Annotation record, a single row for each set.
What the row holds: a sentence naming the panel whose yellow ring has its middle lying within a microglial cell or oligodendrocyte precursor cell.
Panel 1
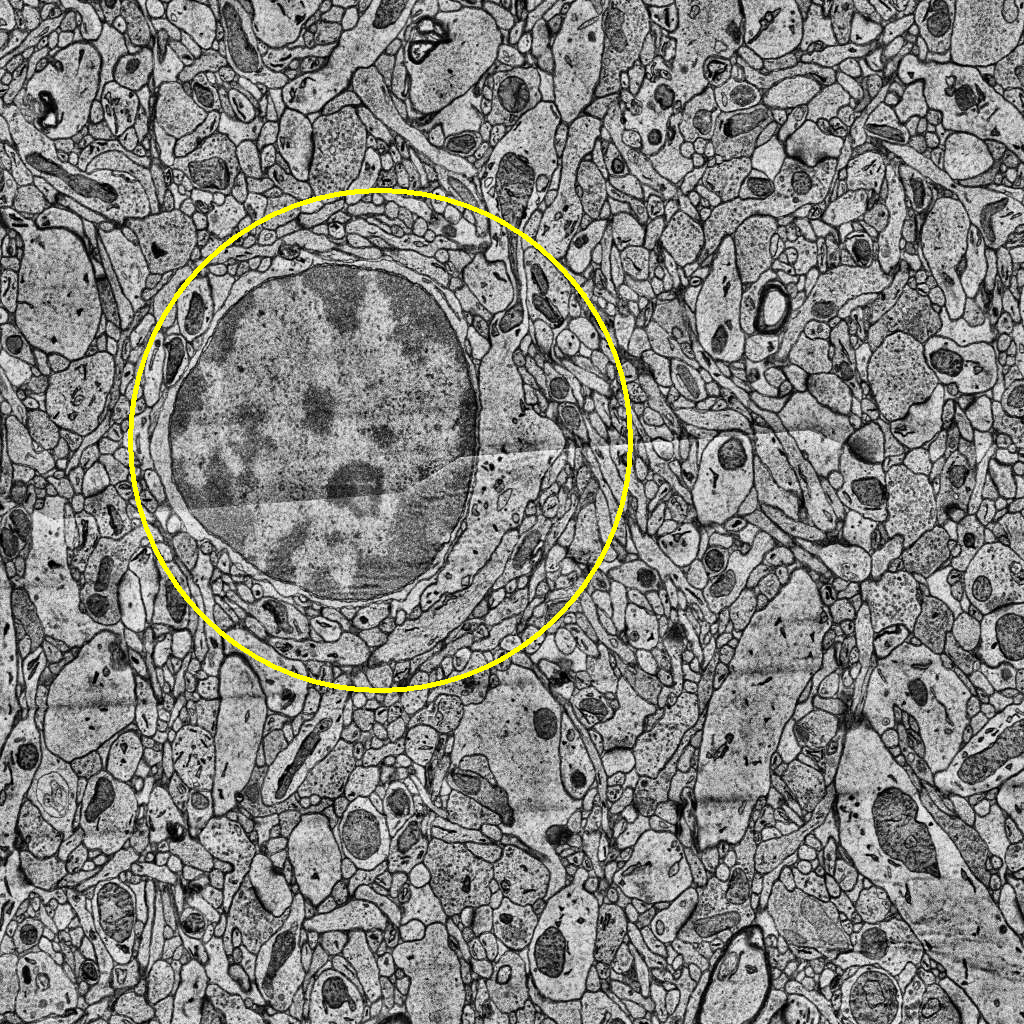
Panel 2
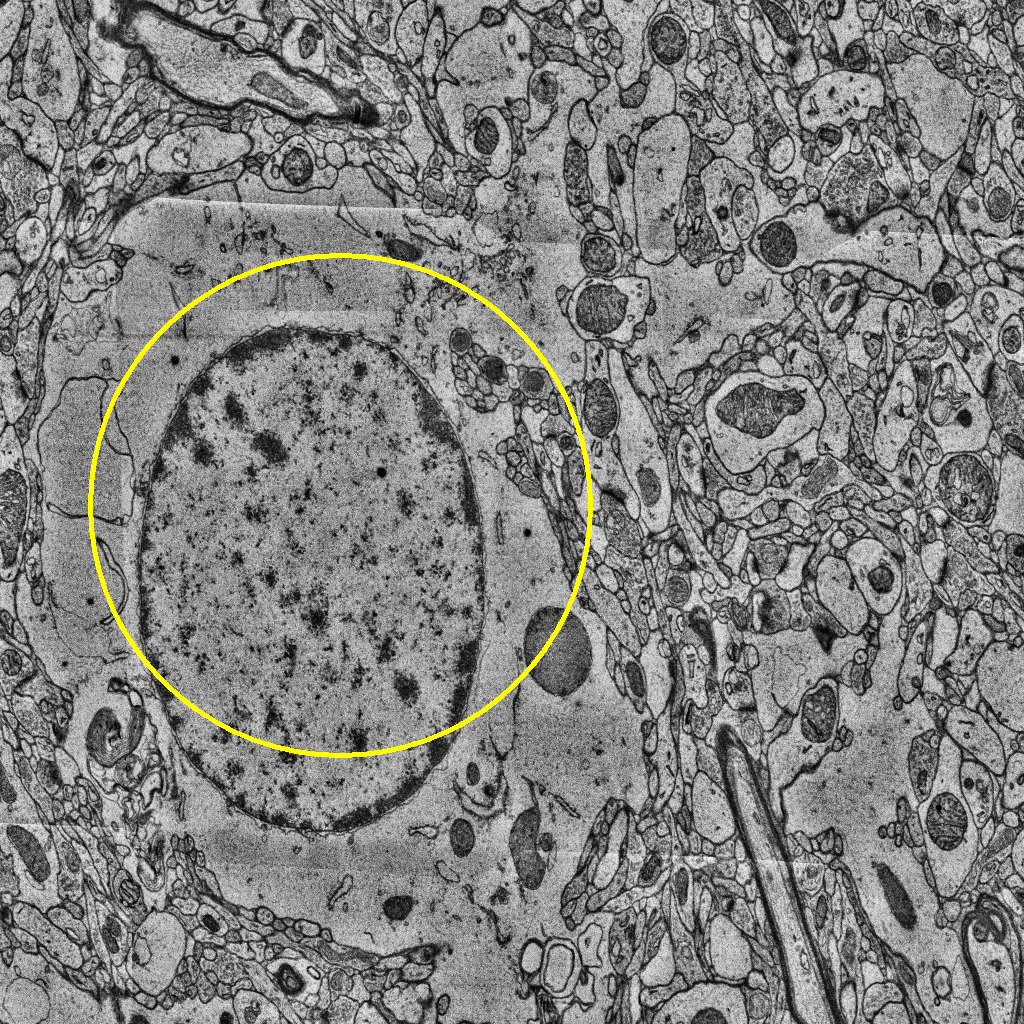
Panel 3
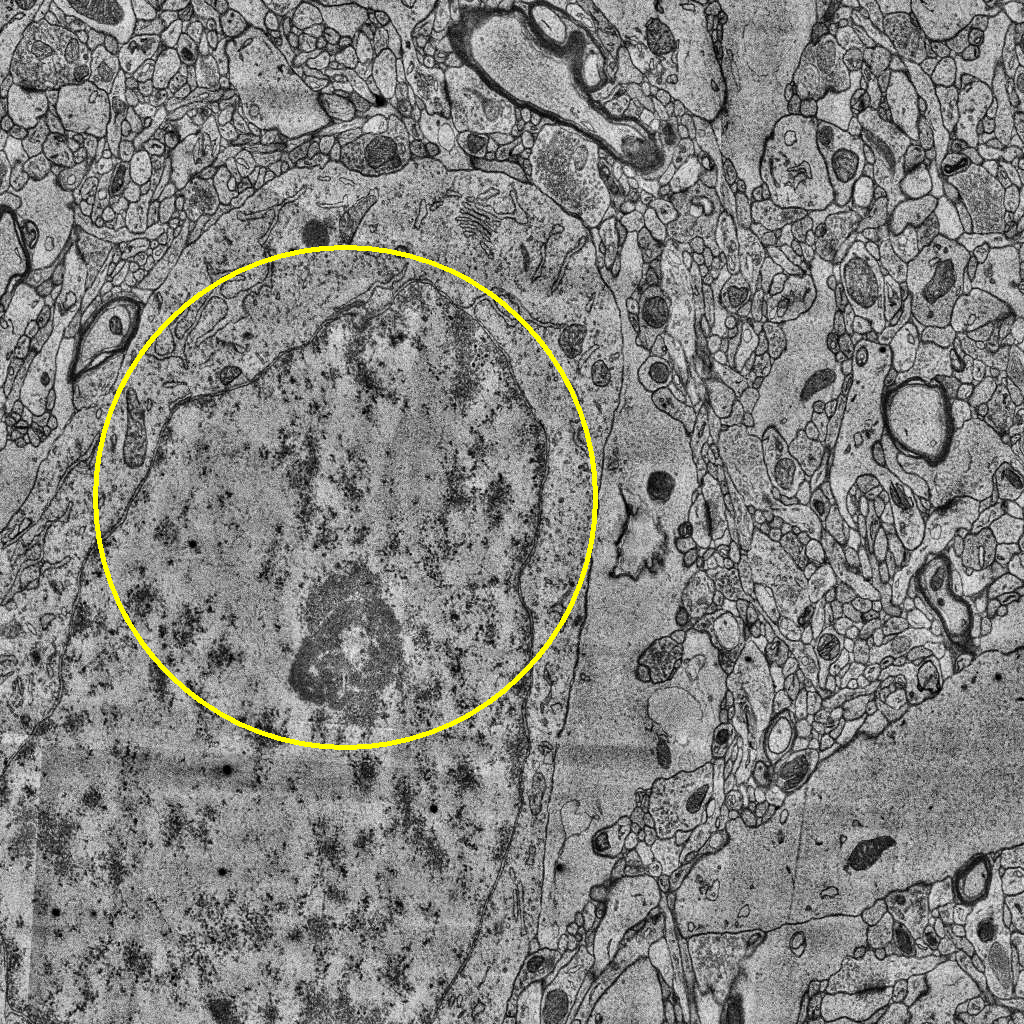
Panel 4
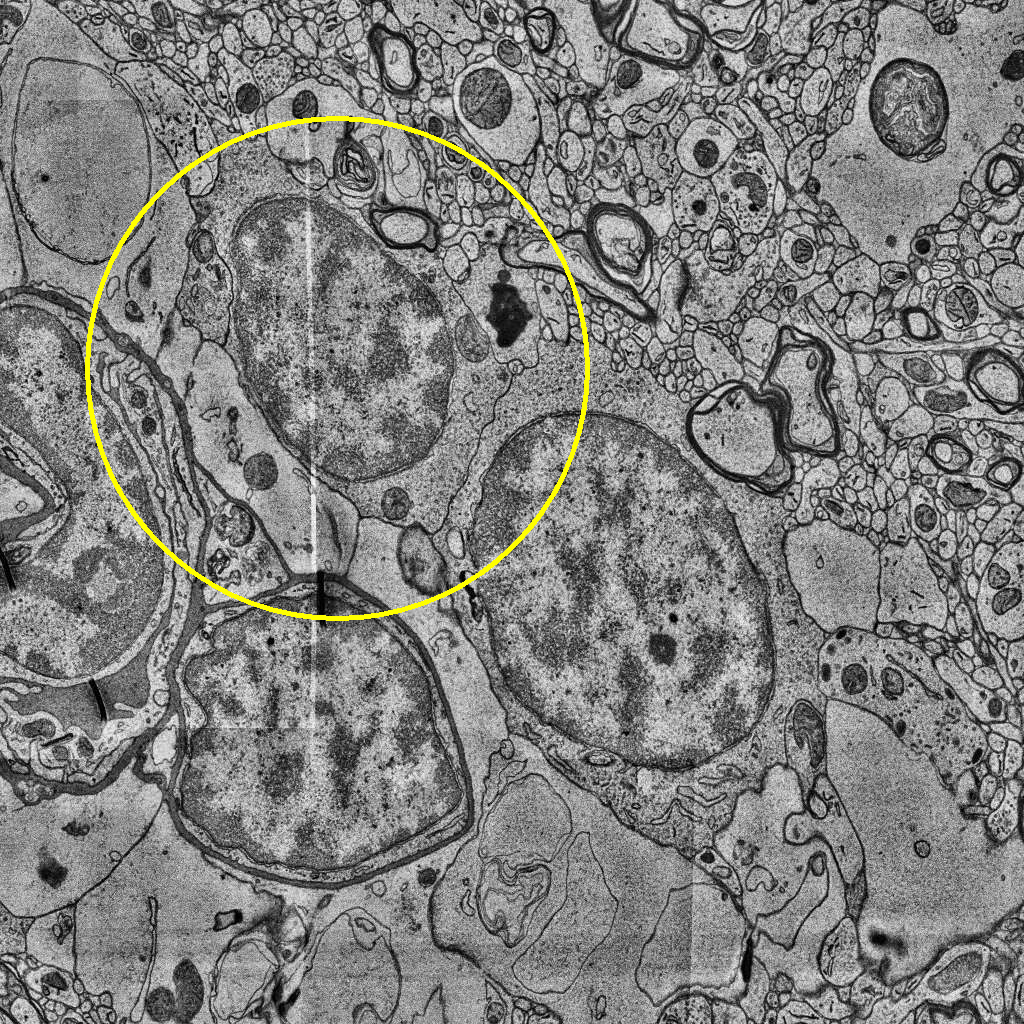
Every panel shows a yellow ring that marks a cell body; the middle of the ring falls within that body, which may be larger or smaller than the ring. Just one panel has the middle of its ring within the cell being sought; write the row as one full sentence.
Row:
In panel 1, the middle of the yellow ring lies within the cell that is sought.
